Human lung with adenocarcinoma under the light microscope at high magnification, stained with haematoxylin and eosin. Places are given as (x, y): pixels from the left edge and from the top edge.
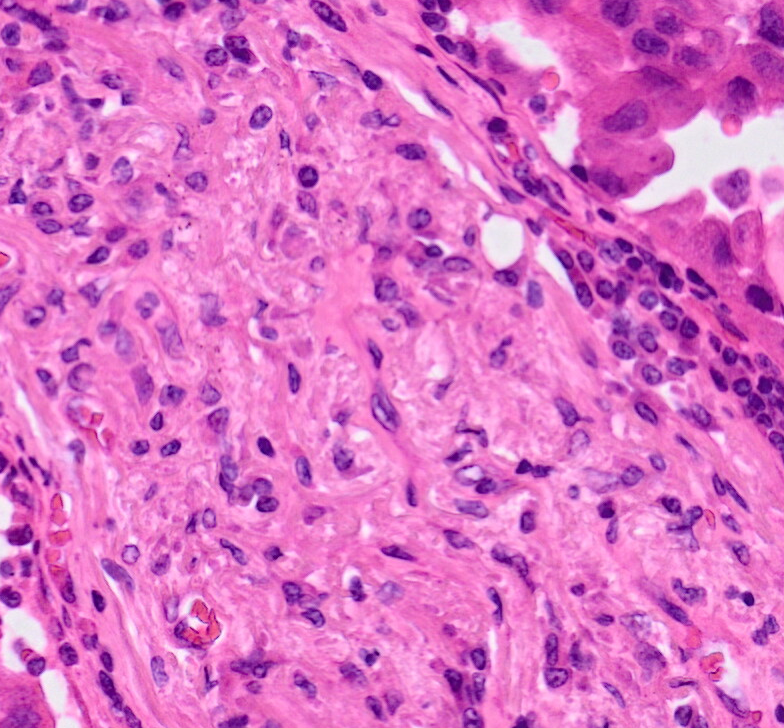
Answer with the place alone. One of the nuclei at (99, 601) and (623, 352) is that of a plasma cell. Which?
(623, 352)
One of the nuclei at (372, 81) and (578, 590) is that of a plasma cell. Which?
(578, 590)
